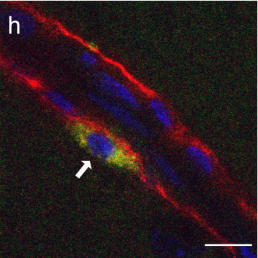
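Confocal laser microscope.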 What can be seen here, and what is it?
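A small vessel runs diagonally, its wall outlined by red lines with several elongated blue nuclei lying along it. One cell in the wall, beside an oval blue nucleus, carries a clustered green-yellow patch where green overlaps red. The surrounding tissue is dark and nearly unstained.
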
